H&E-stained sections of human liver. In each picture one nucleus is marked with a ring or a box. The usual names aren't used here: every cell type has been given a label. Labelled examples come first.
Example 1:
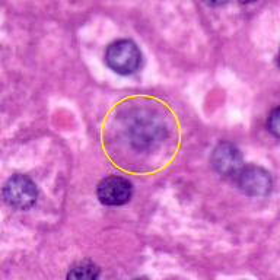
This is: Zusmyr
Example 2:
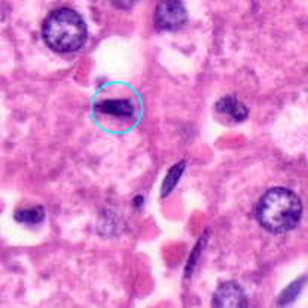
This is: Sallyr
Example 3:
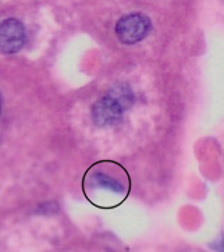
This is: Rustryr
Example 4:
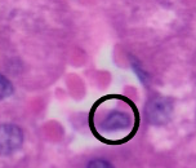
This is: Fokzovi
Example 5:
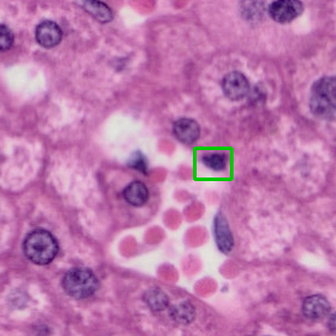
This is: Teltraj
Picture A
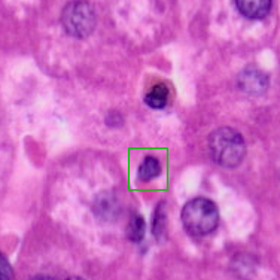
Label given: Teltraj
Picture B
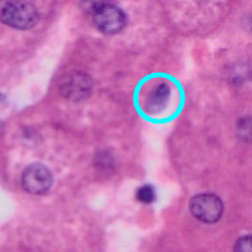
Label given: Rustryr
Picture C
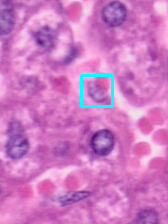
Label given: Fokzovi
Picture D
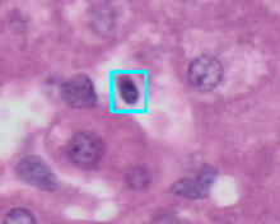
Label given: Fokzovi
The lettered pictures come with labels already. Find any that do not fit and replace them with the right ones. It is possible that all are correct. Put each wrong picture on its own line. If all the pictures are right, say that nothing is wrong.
D: Teltraj, not Fokzovi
